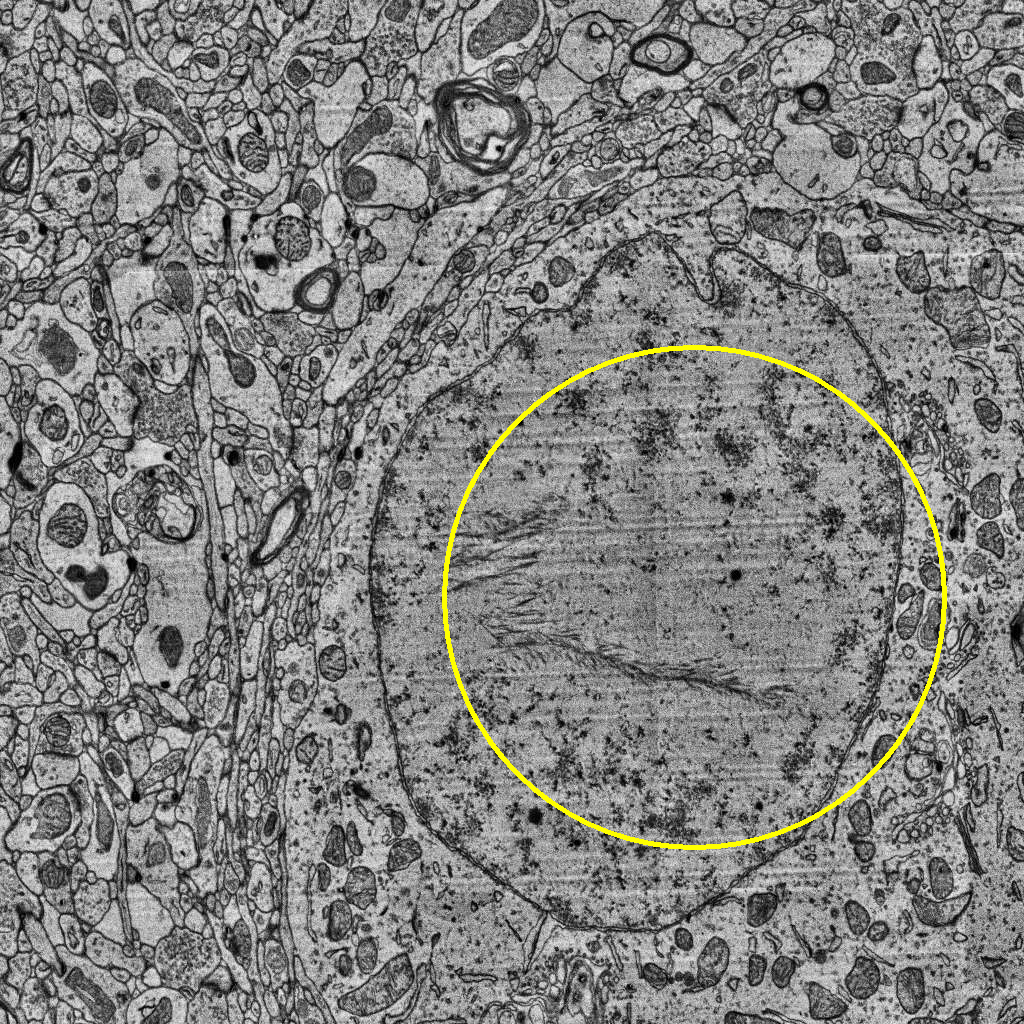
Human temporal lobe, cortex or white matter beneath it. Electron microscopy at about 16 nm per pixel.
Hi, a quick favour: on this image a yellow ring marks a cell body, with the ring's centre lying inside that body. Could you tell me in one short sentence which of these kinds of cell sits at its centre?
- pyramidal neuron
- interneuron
The ring's centre lies in an interneuron.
